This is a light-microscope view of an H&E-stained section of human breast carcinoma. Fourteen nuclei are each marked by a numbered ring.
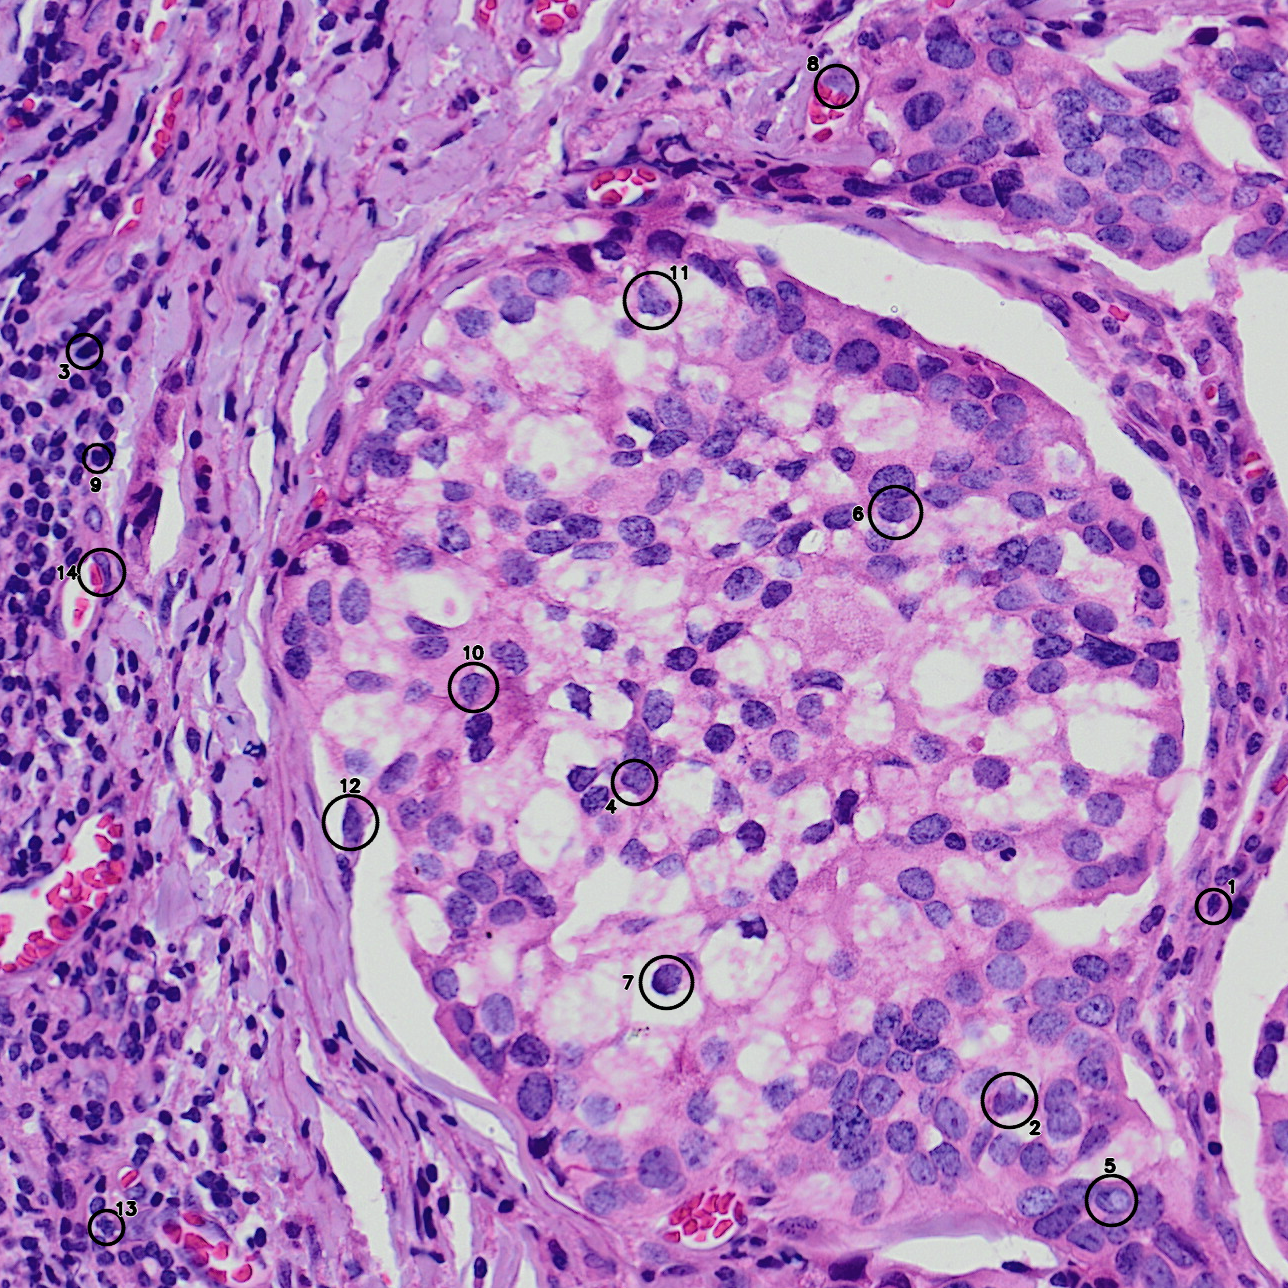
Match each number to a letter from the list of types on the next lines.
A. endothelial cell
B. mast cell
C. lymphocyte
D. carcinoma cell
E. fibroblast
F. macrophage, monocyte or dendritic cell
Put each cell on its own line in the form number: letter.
1: C
2: D
3: C
4: D
5: D
6: D
7: D
8: A
9: C
10: D
11: D
12: D
13: C
14: A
